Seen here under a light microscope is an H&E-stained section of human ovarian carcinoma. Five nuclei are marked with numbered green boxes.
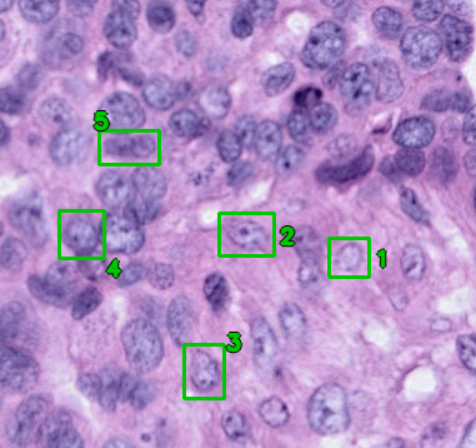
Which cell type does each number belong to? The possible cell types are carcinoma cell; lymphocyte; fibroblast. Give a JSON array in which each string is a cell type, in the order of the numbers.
["fibroblast", "fibroblast", "fibroblast", "carcinoma cell", "carcinoma cell"]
